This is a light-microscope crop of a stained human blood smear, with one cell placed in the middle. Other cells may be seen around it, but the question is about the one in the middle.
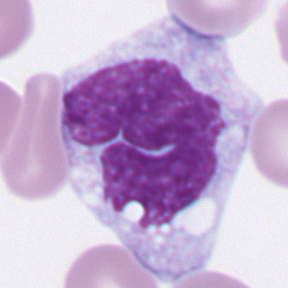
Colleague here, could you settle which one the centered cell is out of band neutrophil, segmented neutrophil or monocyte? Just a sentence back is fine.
Seen at the centre of the crop is a monocyte.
